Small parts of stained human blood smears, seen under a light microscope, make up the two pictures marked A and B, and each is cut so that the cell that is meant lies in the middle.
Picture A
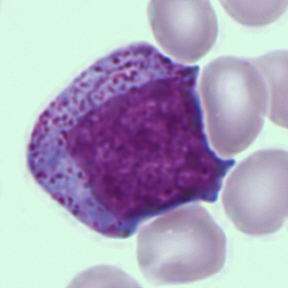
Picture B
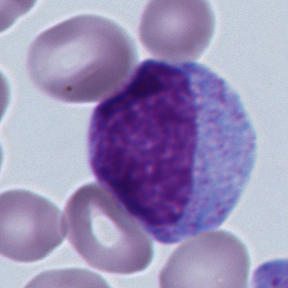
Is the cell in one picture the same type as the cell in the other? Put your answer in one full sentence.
Yes, they are the same type: both are promyelocytes.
